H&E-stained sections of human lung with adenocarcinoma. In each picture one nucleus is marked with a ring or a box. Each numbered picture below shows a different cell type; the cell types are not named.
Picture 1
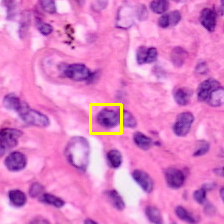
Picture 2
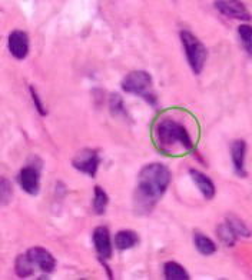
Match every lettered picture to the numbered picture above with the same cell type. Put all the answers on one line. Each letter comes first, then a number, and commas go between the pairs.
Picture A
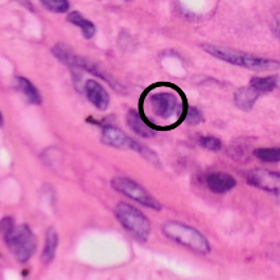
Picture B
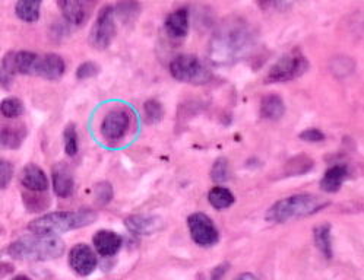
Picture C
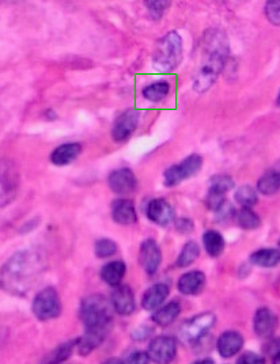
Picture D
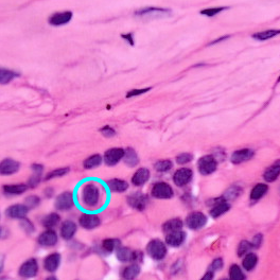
A 1, B 2, C 1, D 1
